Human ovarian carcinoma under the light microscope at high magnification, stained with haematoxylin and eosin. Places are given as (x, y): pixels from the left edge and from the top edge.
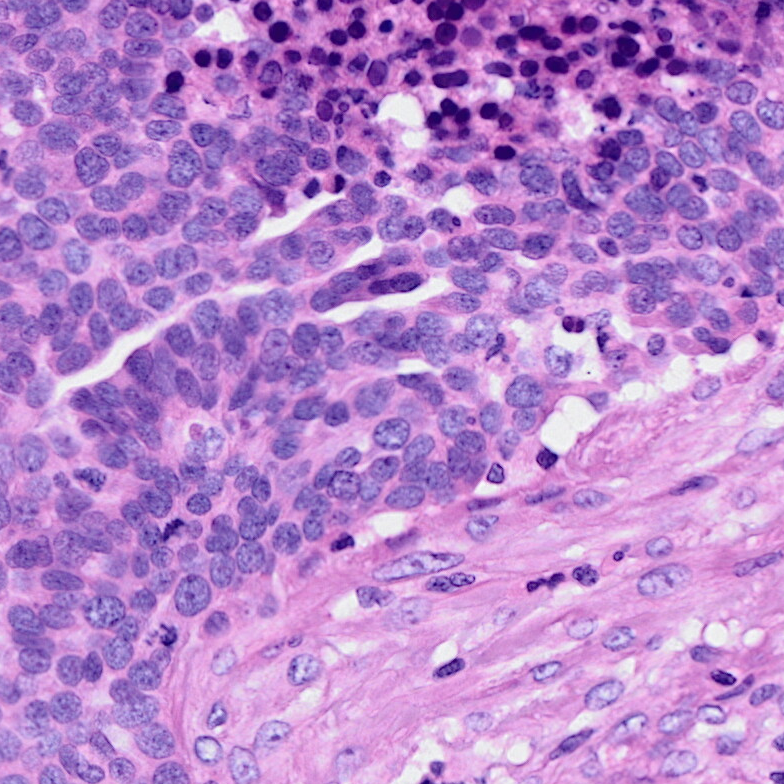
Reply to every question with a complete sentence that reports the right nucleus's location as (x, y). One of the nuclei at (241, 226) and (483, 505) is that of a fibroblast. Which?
The nucleus at (483, 505) is identified as belonging to a fibroblast.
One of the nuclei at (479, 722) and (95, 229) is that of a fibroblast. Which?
The member of the pair belonging to a fibroblast is the nucleus at (479, 722).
